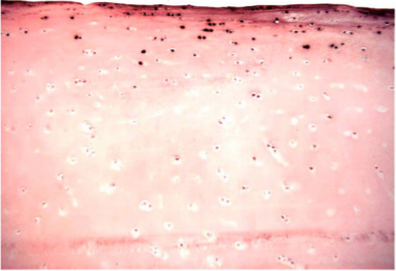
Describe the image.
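A section of cartilage with a smooth, continuous surface and a pale pink, homogeneous matrix in which small rounded cells lie singly in clear lacunae. Dark brown to black stained cells are crowded in the upper layer just below the surface, while deeper cells are sparser and mostly unstained. These are chondrocytes of intact articular cartilage.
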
